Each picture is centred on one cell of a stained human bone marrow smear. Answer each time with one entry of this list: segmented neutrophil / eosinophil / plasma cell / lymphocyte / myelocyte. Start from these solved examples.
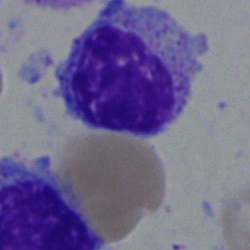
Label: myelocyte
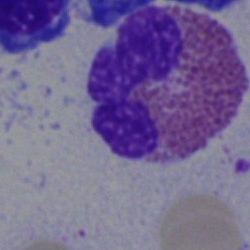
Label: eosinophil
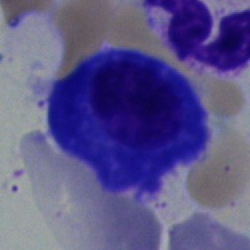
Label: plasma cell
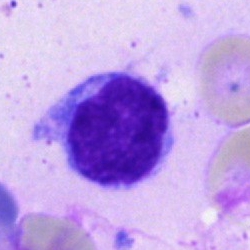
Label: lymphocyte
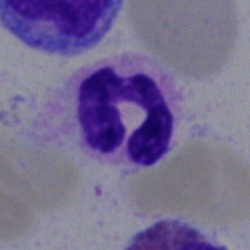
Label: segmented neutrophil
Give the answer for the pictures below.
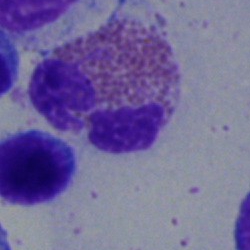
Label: eosinophil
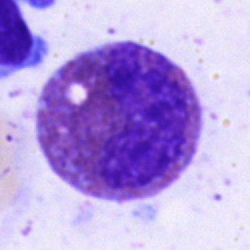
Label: eosinophil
